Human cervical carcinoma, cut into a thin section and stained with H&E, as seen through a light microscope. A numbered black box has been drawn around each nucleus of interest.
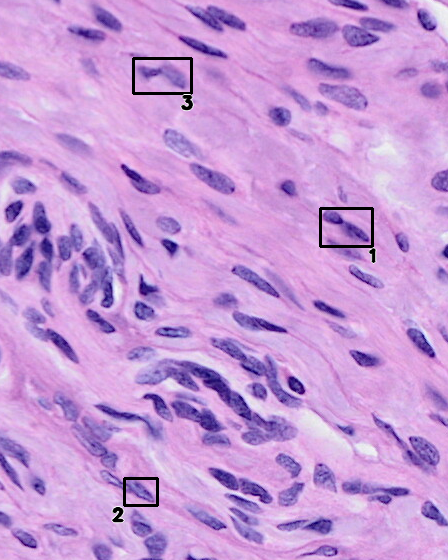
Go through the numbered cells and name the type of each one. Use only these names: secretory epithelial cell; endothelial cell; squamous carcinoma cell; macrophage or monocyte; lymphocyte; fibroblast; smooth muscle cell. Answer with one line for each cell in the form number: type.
1: fibroblast
2: smooth muscle cell
3: fibroblast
